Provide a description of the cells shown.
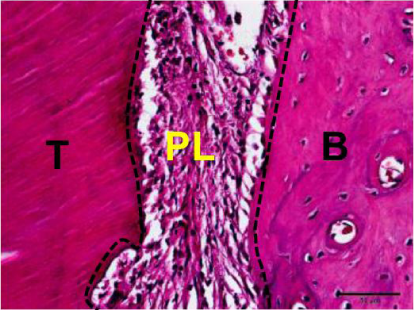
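On the left lies a deep pink root with fine parallel lines running through it, and on the right pink bone with small cell lacunae and round spaces. Between them runs a band of fibrous tissue with many elongated, dark-purple nuclei and wavy fibres oriented roughly along the root.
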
